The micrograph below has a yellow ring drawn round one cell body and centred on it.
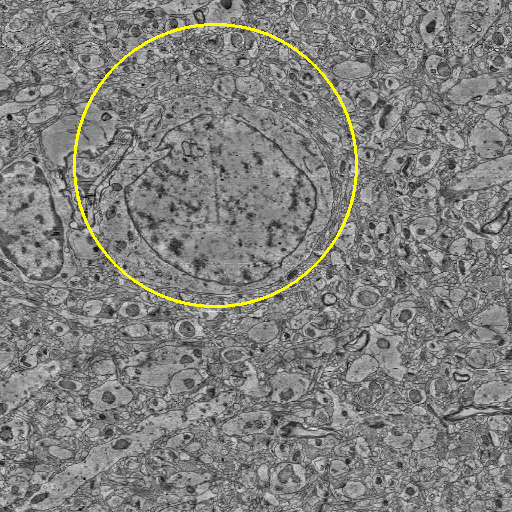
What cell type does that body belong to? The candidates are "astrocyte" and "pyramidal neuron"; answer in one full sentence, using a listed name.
This is a pyramidal neuron, the cell whose body lies at the centre of the ring.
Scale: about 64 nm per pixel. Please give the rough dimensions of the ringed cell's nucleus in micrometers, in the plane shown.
In this plane the nucleus measures roughly 12 micrometres across.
